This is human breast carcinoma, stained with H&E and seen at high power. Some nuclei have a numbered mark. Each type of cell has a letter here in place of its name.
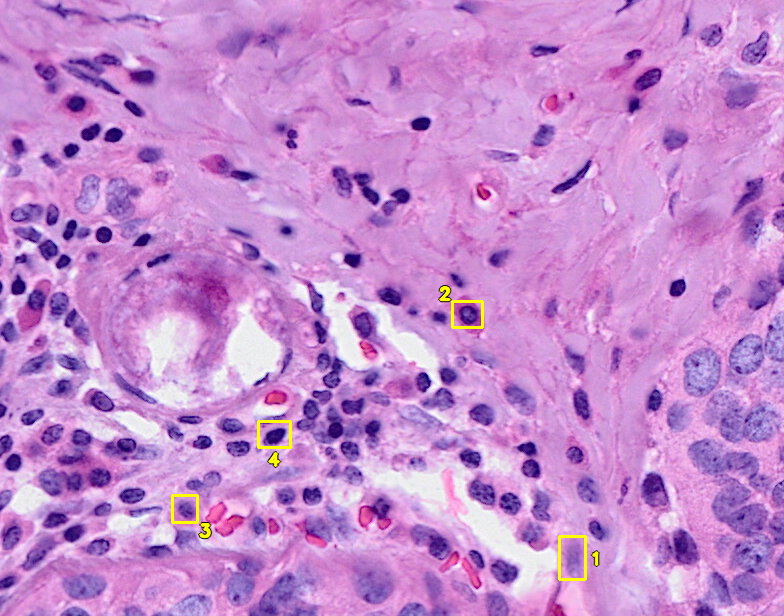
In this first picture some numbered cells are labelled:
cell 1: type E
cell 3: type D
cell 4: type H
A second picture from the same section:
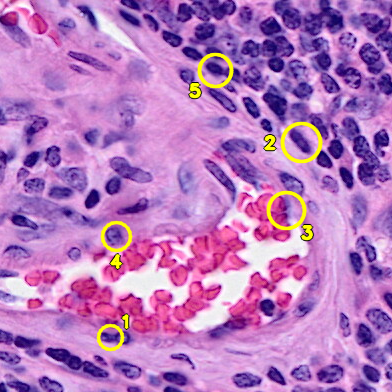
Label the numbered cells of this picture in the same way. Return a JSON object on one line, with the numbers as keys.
{"1": "type E", "2": "type H", "3": "type E", "4": "type E", "5": "type H"}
